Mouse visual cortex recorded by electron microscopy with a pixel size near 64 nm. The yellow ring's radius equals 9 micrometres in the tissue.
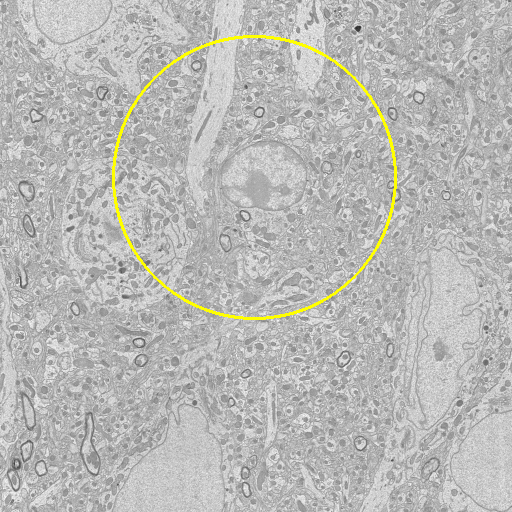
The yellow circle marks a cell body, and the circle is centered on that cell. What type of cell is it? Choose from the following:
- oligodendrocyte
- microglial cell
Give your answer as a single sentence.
This cell body belongs to an oligodendrocyte.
